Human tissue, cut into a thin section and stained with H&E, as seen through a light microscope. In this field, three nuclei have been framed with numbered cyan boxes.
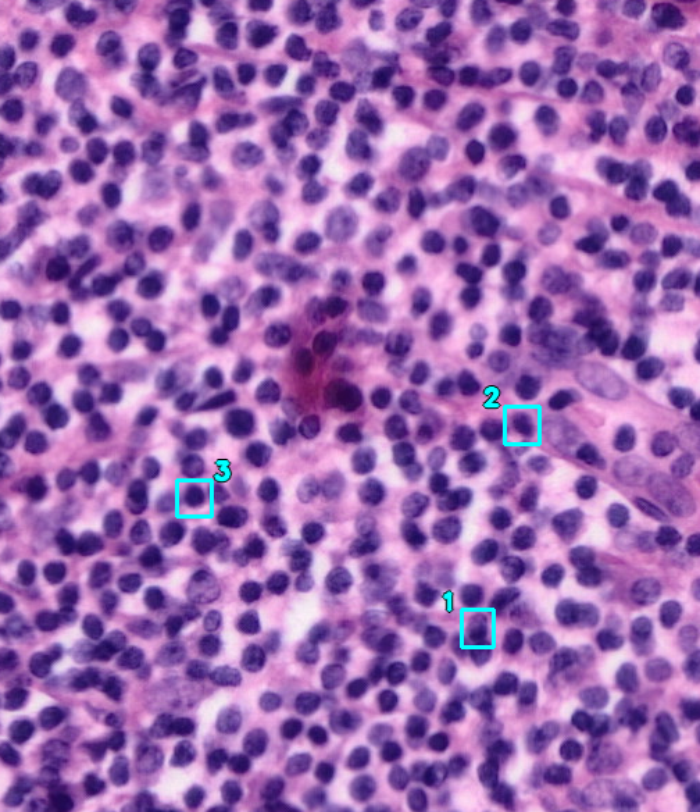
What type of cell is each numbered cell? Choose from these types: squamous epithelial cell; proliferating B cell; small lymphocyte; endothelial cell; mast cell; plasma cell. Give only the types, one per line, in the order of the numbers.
small lymphocyte
endothelial cell
small lymphocyte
